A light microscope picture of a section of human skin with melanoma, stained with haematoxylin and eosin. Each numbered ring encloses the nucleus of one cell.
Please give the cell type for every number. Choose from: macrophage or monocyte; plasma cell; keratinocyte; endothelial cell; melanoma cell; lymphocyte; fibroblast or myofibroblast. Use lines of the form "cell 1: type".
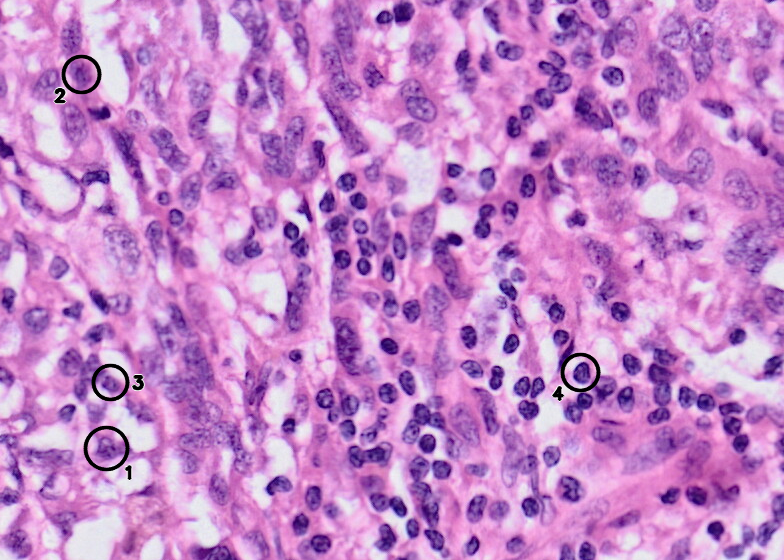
cell 1: melanoma cell
cell 2: melanoma cell
cell 3: melanoma cell
cell 4: lymphocyte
